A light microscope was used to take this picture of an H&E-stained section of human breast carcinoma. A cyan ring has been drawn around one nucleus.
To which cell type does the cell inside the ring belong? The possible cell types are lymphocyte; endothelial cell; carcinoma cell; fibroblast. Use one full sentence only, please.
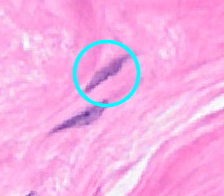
Cell type answer for this item: the cell inside the ring is a fibroblast.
